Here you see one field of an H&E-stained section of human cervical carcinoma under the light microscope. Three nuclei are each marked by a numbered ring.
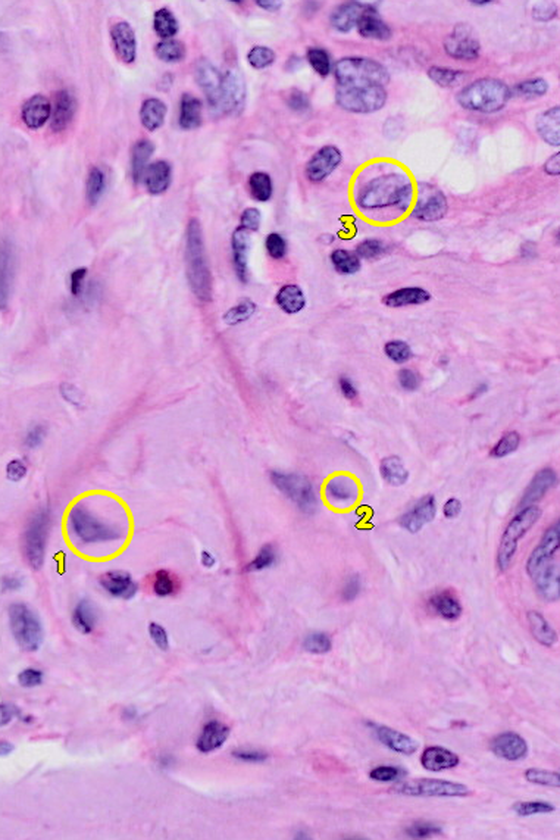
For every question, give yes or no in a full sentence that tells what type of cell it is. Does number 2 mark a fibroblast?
Yes, the cell at marker 2 is a fibroblast.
